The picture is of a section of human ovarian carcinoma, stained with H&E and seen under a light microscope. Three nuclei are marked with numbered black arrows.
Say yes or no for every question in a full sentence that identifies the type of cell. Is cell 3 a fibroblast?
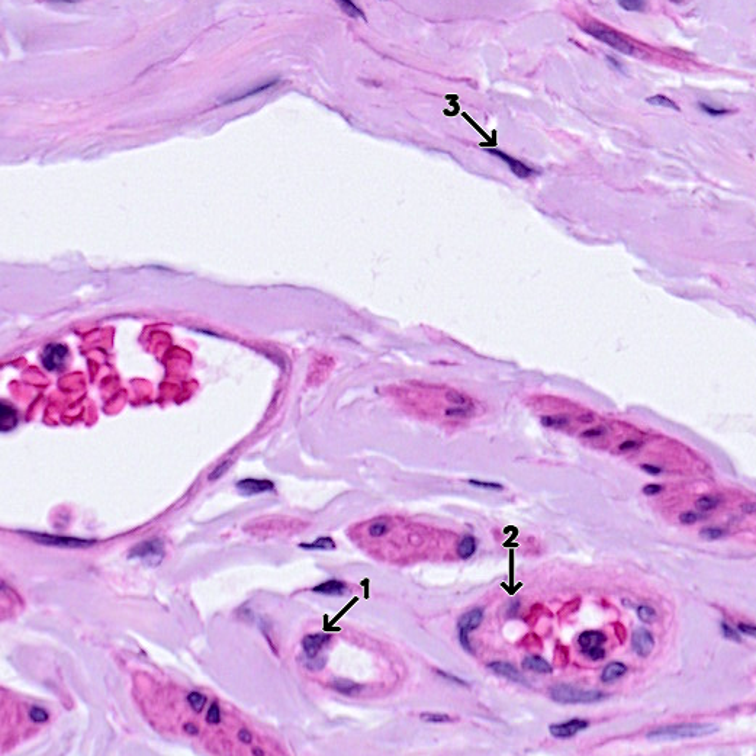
Yes, of the numbered cells, number 3 is a fibroblast.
